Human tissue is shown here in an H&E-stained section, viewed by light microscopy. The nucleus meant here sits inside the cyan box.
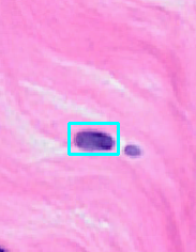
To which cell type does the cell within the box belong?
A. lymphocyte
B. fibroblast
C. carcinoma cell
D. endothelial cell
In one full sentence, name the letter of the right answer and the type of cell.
Option A gets it right, as the cell within the box is a lymphocyte.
